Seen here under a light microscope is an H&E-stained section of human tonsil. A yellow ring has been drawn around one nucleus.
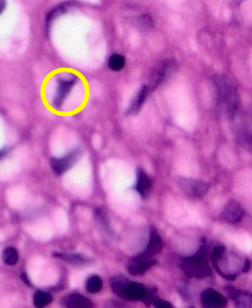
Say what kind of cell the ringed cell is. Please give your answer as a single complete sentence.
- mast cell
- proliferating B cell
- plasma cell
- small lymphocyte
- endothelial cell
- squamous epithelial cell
Labelled by cell type, the ringed cell is a squamous epithelial cell.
